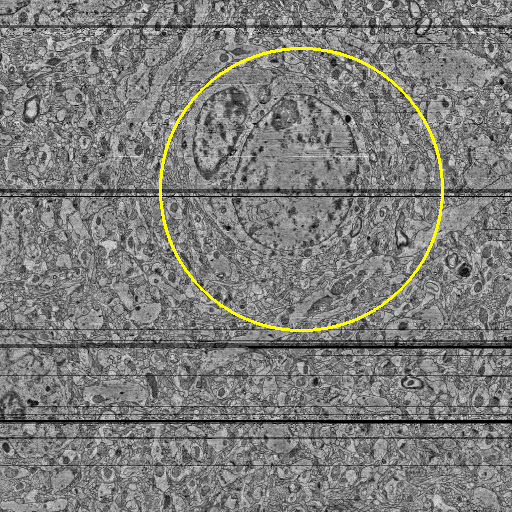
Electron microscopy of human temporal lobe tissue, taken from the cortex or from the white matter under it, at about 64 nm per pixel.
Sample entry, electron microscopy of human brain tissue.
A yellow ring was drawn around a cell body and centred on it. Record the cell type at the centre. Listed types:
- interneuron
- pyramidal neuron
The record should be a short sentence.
The cell at the ring's centre is a pyramidal neuron.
